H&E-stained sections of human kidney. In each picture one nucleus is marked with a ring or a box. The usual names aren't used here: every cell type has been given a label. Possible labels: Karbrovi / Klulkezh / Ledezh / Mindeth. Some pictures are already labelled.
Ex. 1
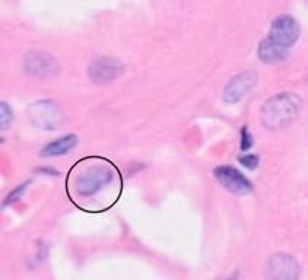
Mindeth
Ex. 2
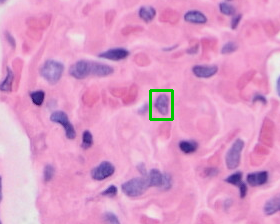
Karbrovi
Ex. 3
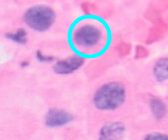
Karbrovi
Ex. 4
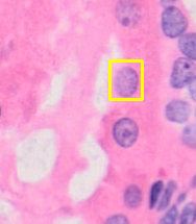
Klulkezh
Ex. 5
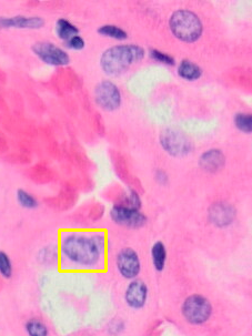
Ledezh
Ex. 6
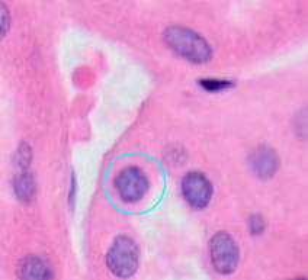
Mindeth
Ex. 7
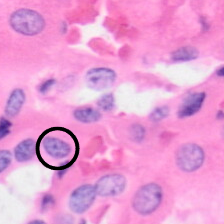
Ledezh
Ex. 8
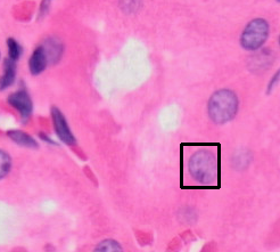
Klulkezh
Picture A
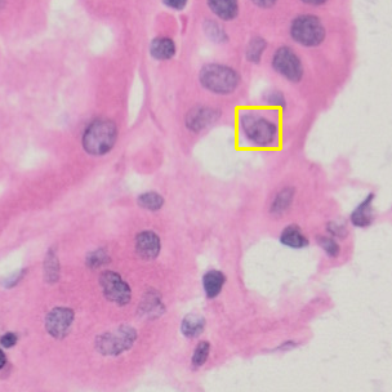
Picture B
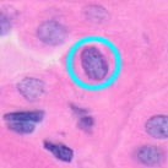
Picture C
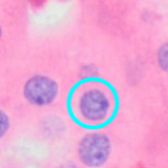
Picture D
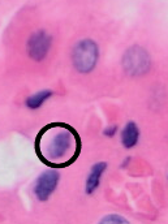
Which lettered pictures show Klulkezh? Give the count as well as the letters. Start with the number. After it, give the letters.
0, none of them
